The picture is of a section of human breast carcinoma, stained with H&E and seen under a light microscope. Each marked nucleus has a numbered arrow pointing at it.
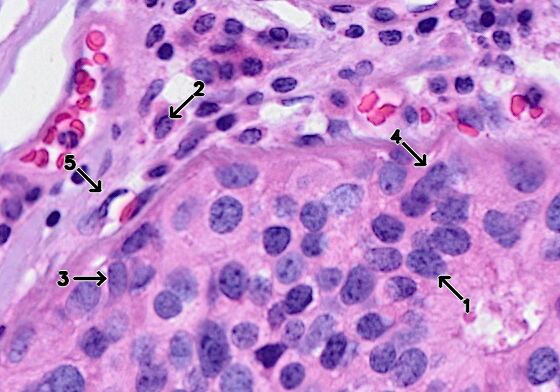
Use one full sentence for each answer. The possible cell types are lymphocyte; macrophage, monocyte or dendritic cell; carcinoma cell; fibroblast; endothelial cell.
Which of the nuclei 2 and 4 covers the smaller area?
Nucleus 2 is the smaller one; nucleus 4 covers about 2 times its area.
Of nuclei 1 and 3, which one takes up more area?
Nucleus 1 is the larger one, covering about 1.5 times the area of nucleus 3.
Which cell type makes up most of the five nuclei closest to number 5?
Most of the five nuclei nearest to number 5 are those of fibroblasts.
